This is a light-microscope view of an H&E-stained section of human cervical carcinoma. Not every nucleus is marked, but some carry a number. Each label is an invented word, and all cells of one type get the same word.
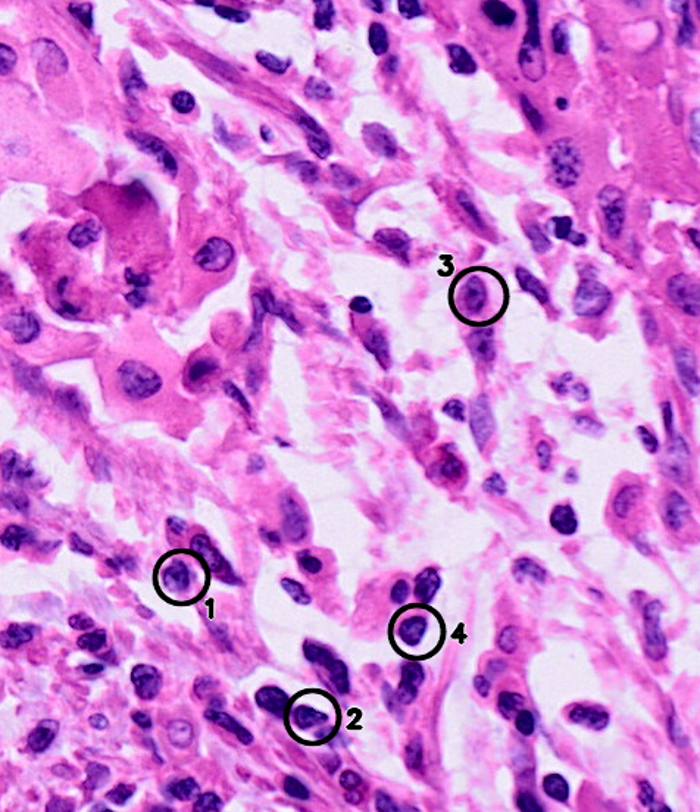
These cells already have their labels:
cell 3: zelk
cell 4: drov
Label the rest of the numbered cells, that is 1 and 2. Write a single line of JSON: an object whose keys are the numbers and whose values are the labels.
{"1": "drov", "2": "drov"}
